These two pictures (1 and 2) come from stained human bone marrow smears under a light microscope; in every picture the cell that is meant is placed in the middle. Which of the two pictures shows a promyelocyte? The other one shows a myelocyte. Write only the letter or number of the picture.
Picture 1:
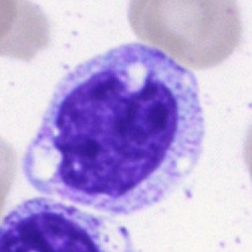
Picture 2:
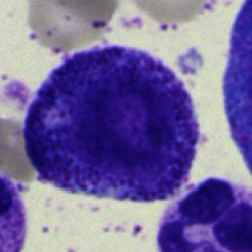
2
